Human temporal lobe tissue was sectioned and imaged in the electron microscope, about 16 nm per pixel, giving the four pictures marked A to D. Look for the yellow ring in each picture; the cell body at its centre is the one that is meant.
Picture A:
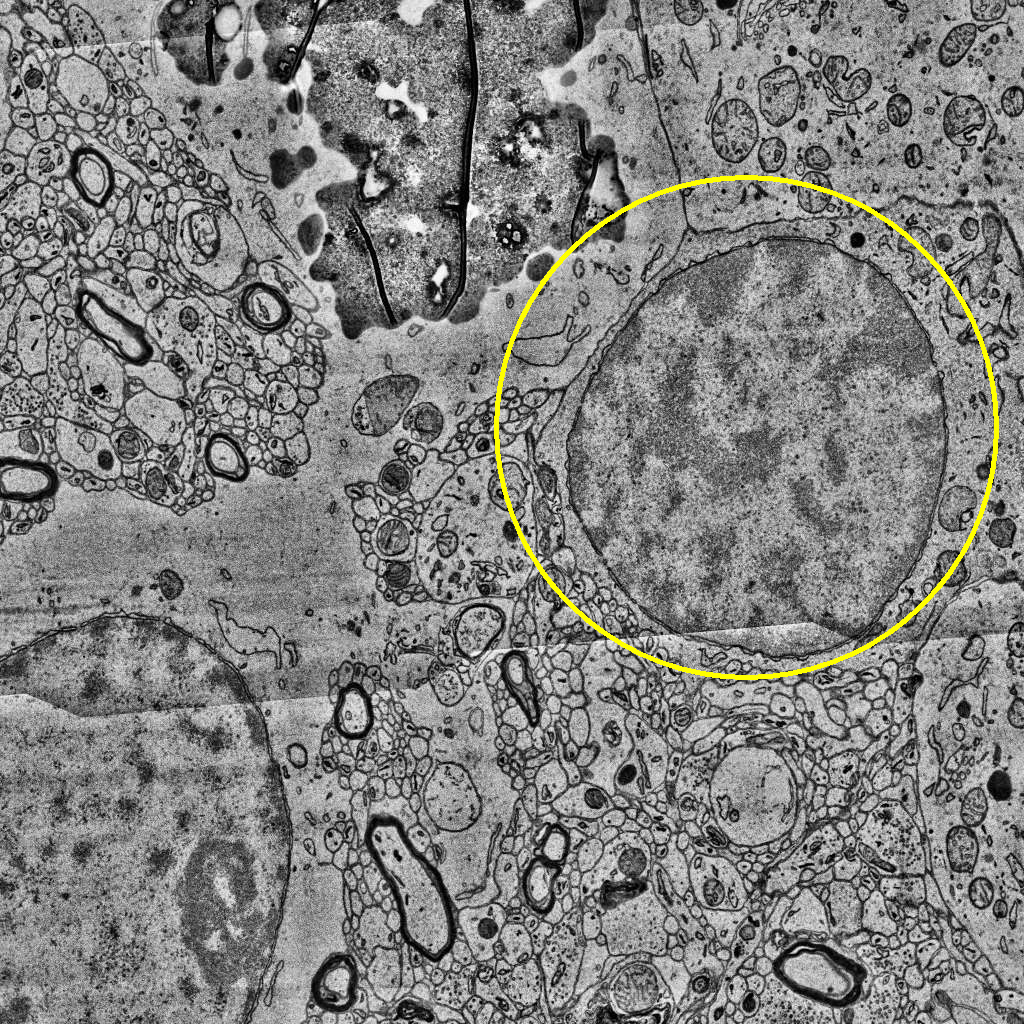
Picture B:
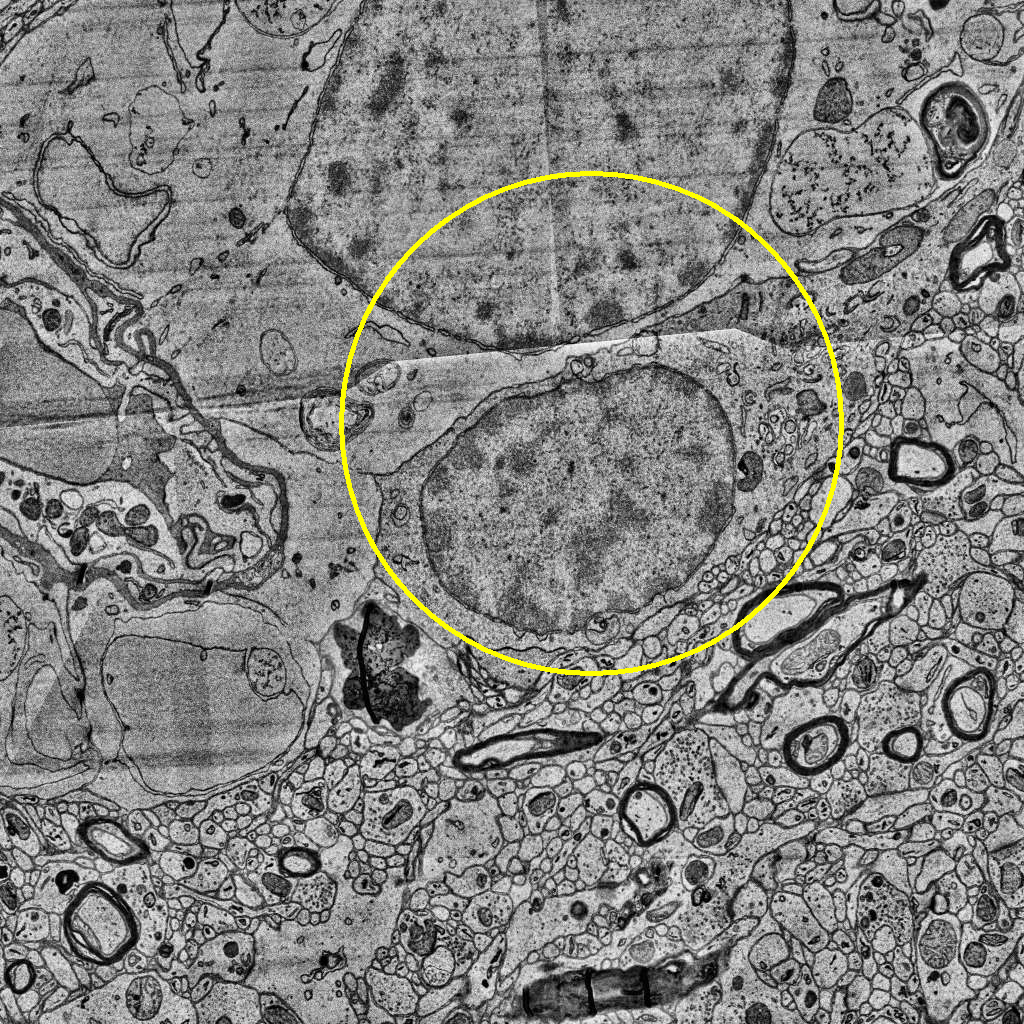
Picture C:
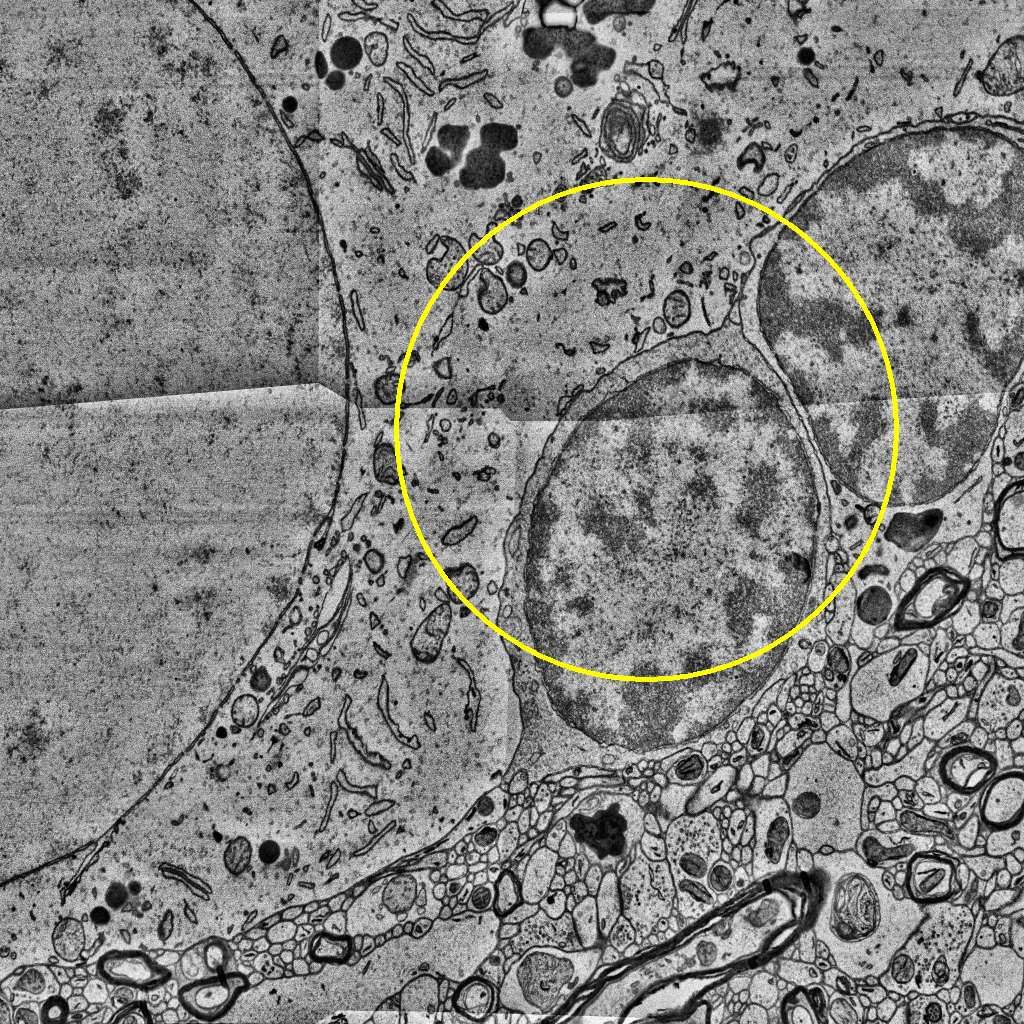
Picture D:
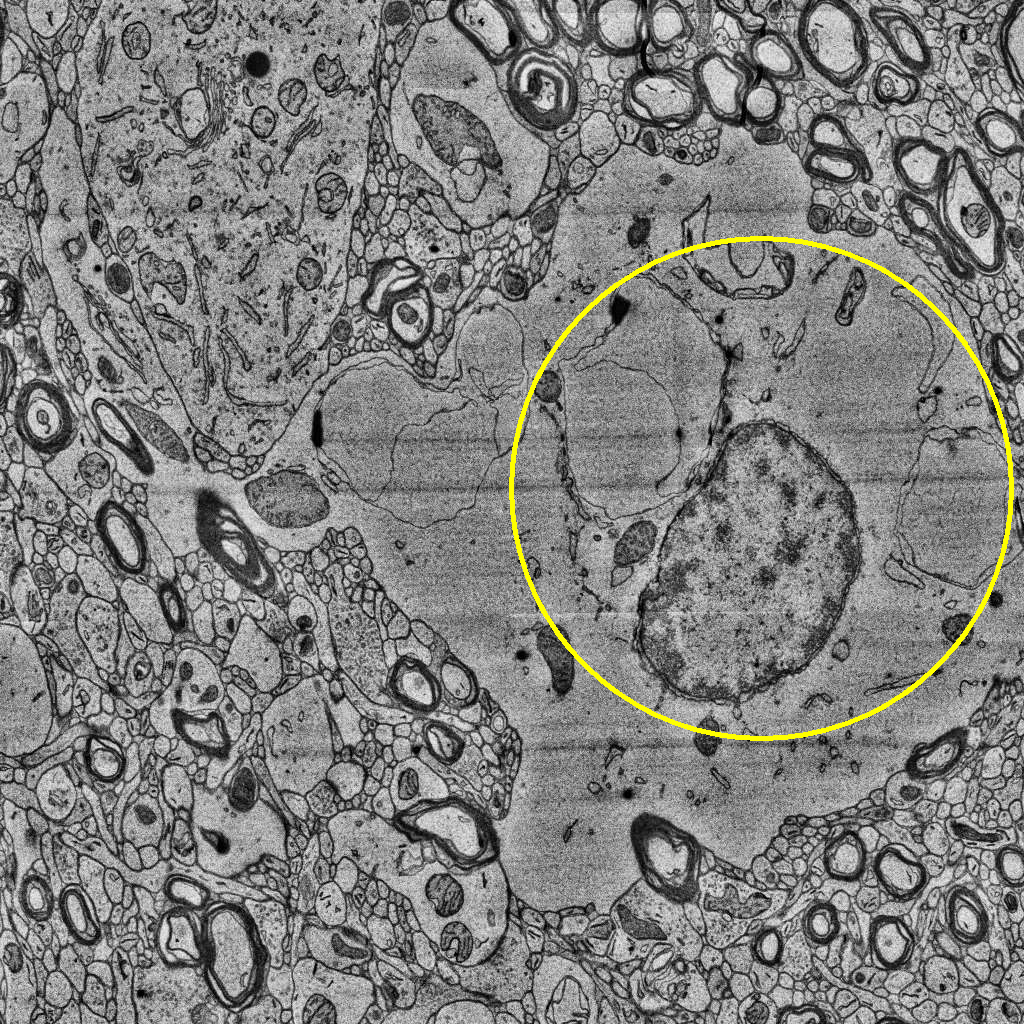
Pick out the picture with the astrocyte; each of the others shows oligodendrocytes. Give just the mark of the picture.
D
